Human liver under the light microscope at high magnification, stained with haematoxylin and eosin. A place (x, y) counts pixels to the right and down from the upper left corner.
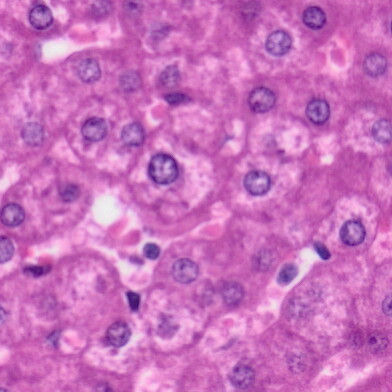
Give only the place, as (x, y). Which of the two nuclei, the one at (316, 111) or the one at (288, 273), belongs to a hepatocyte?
(316, 111)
